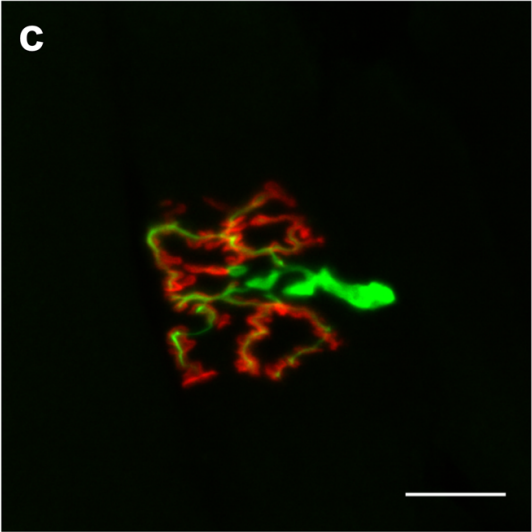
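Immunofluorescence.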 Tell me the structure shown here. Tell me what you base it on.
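Neuromuscular junctions. A branched, pretzel-like red structure lies at one spot. A green fibre ends on and branches over the red structure.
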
